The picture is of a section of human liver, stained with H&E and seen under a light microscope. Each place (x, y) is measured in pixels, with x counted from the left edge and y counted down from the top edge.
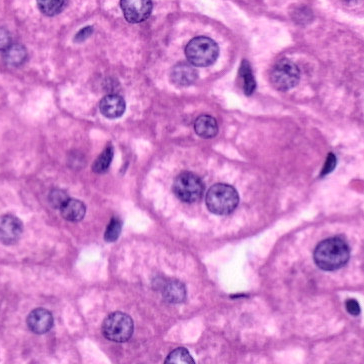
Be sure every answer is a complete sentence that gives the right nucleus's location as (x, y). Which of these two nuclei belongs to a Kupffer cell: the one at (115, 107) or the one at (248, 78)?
The nucleus at (248, 78) is identified as belonging to a Kupffer cell.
